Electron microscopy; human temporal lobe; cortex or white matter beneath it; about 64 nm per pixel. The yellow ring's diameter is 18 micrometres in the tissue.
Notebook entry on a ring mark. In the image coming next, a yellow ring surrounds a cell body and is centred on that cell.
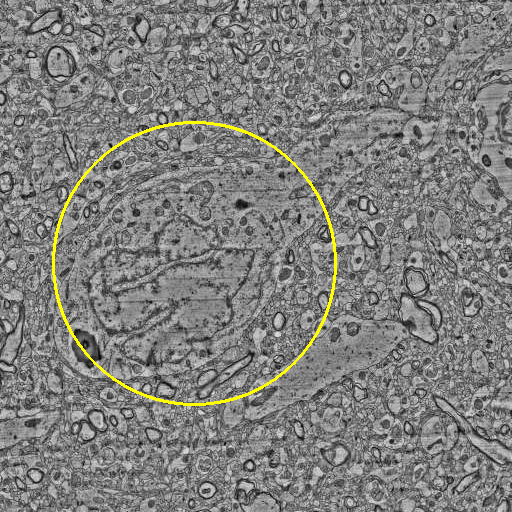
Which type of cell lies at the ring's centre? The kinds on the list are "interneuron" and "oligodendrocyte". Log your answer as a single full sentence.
Centred in the yellow ring is an interneuron, the cell recorded for this image.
